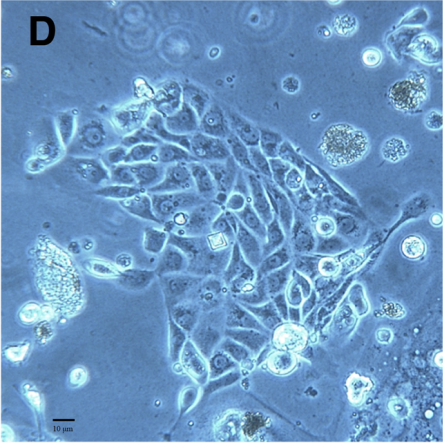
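In this phase-contrast view of cultured cells, a dense cluster of small, closely packed cells with elongated and polygonal outlines and visible nuclei forms a crowded patch. Round refractile cells and granular debris lie scattered around it.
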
